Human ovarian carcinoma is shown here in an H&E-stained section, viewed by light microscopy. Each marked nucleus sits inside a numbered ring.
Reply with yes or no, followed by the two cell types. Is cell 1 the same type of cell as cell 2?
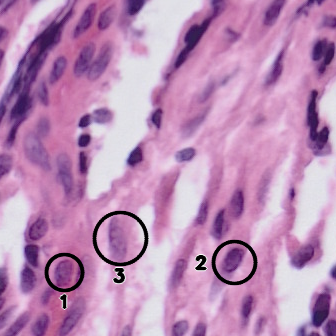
No, cell 1 is an endothelial cell; cell 2 is a fibroblast.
